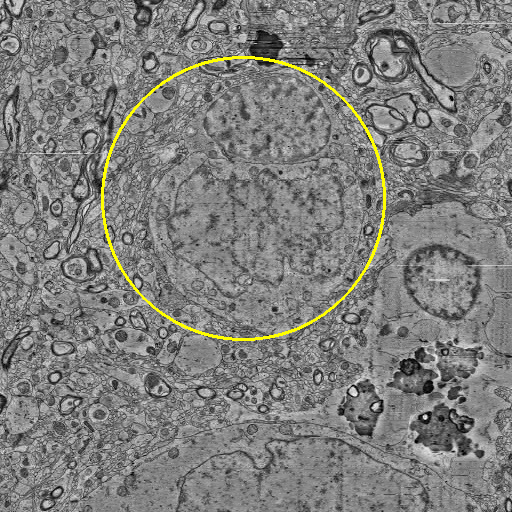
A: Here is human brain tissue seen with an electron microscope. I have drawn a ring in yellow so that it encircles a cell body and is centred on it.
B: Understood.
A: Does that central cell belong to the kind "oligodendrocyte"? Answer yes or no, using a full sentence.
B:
No, the central cell inside your yellow ring belongs to another kind.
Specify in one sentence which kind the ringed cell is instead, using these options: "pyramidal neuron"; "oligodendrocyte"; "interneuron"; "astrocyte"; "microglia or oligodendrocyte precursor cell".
The cell enclosed by the ring is an interneuron.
